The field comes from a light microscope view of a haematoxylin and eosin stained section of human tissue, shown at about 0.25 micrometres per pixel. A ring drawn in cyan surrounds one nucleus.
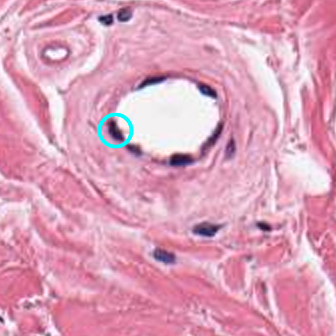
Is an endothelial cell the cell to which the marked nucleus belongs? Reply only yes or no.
yes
